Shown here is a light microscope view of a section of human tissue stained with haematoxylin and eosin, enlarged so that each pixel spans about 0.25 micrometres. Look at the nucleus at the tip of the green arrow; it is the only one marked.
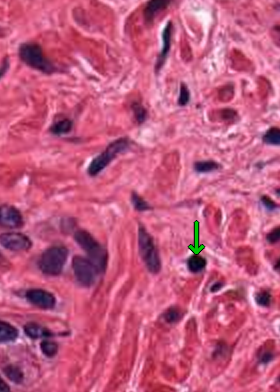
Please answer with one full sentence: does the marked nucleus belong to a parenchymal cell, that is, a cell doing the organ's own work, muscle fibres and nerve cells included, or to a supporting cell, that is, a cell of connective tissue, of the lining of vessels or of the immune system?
A supporting cell is the cell in which the marked nucleus is found.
